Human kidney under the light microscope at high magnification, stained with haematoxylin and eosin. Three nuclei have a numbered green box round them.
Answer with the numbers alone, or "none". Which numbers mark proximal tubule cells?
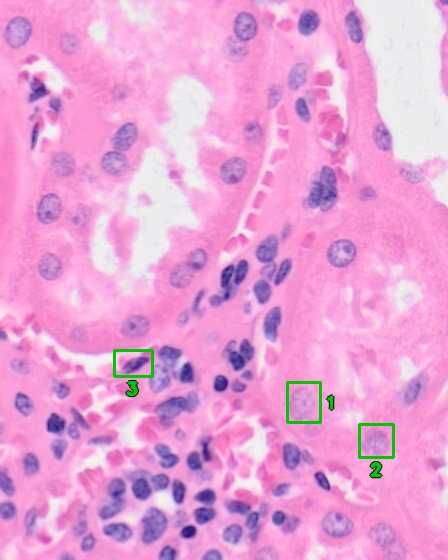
1, 2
